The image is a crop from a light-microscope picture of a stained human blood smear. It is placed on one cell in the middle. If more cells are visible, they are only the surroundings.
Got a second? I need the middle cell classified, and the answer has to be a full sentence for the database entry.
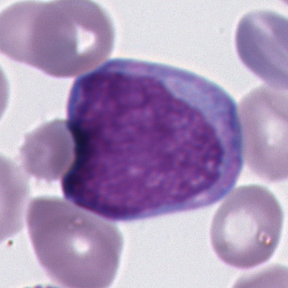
The center cell of this crop is a promyelocyte.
